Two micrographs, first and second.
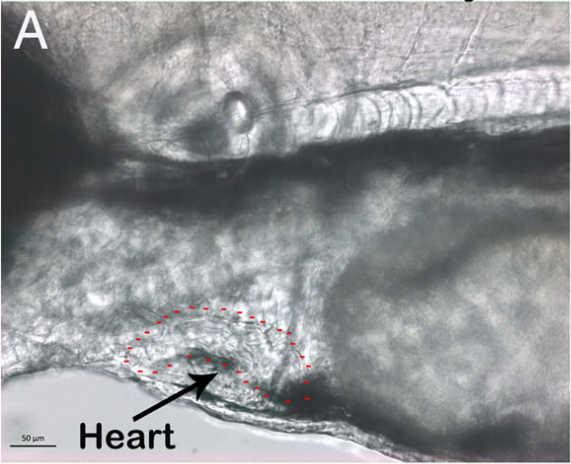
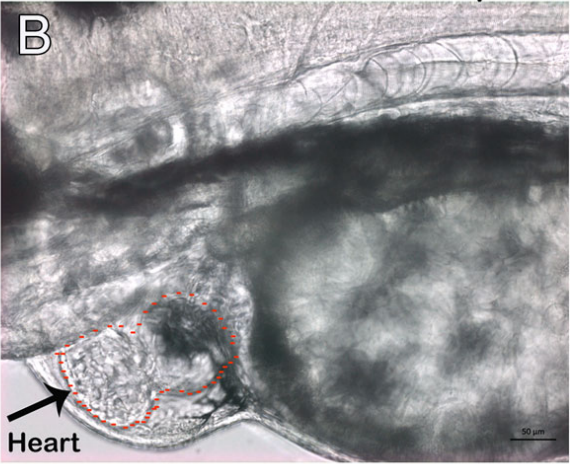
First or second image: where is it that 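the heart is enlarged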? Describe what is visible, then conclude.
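Second image: the outlined heart is a large rounded mass bulging at the ventral edge. So: the second image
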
